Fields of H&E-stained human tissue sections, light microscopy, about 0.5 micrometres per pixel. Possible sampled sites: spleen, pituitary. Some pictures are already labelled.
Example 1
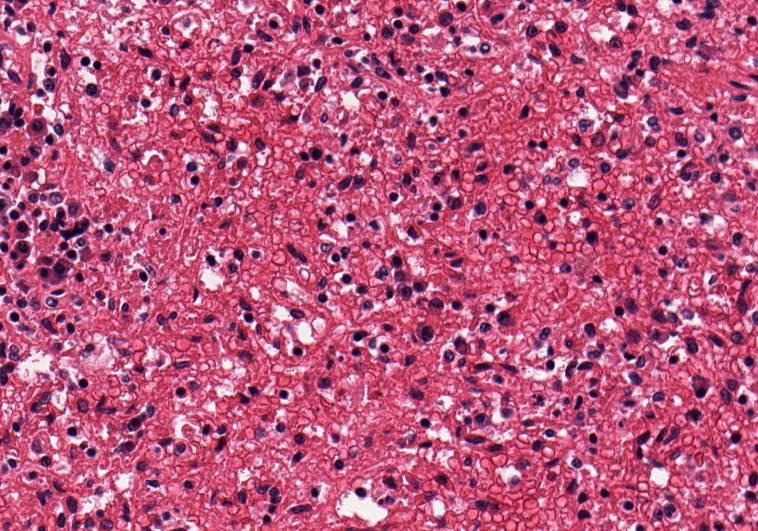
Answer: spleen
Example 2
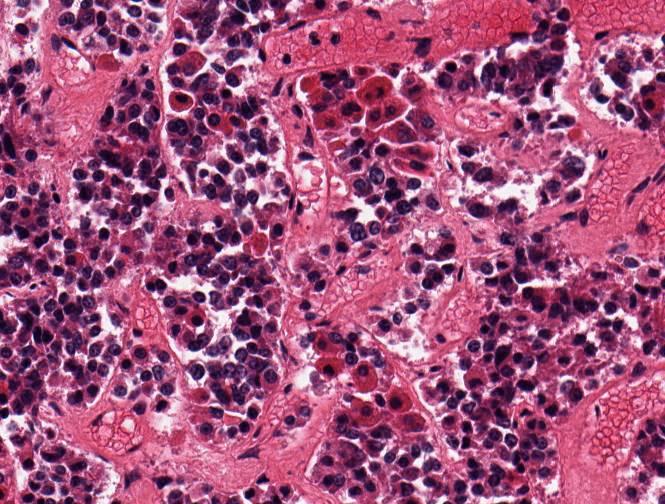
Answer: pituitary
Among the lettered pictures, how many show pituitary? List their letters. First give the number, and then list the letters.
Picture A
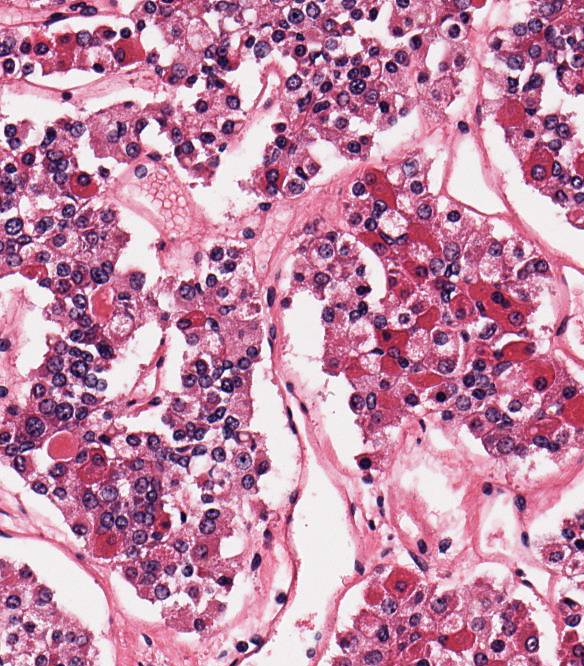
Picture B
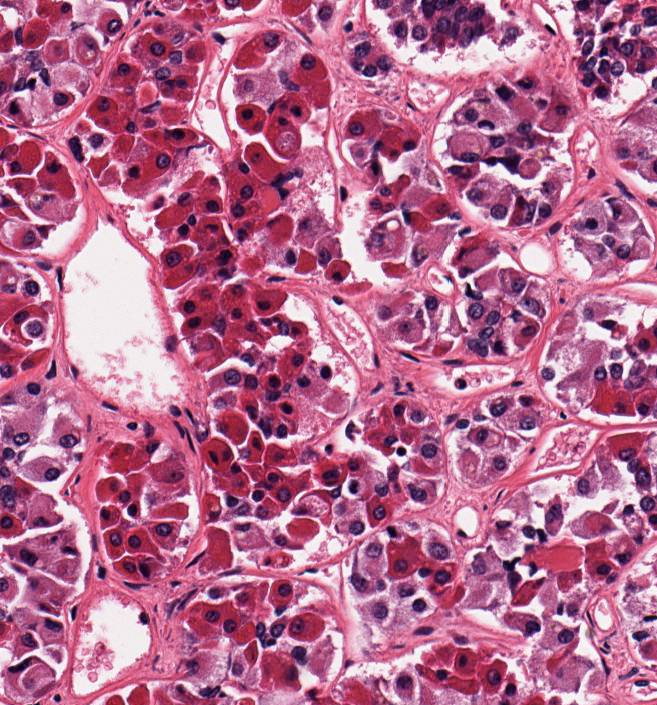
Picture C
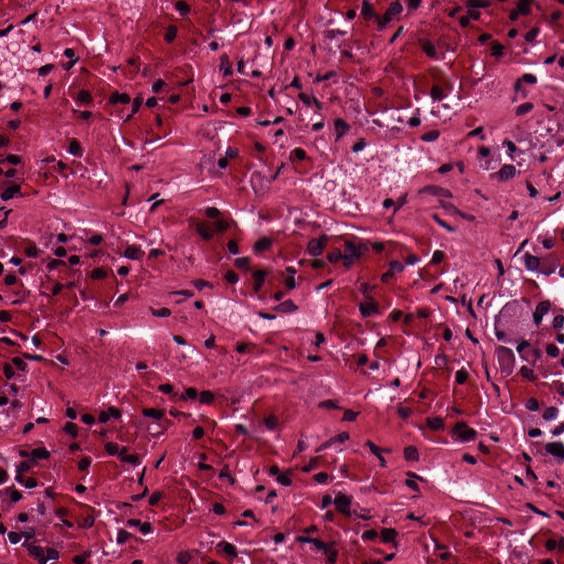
3: A, B, C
